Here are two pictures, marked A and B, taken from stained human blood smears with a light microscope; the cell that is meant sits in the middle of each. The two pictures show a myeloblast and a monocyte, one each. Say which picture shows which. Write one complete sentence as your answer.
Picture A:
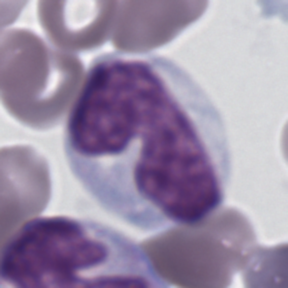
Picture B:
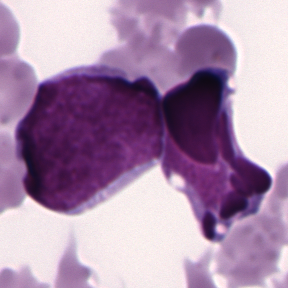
It is picture A that shows a monocyte, and picture B that shows a myeloblast.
